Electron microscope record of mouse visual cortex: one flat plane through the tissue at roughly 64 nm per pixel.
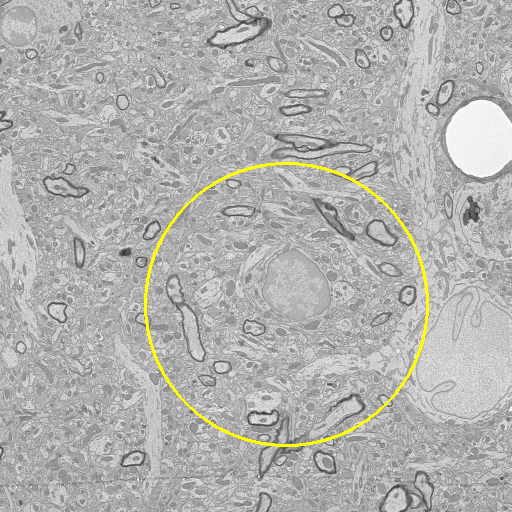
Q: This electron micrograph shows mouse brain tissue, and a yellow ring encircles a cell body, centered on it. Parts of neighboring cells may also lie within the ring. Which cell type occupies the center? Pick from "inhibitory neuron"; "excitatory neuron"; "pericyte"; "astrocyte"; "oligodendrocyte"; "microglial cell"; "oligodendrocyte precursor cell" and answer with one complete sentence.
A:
What sits at the ring's center in this micrograph is a microglial cell, among those choices.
